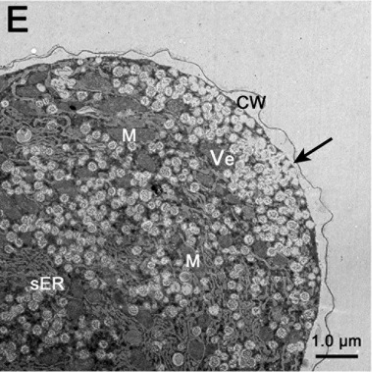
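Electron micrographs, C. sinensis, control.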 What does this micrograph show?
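This is the extreme tip of a pollen tube seen in thin section, and its cytoplasm is crowded with numerous small, round, pale secretory vesicles, most densely toward the outer edge. Between the vesicles lie darker elongated mitochondria and, deeper in, a network of smooth endoplasmic reticulum. The tip is wrapped in a very thin, translucent, slightly bumpy cell wall, and at one spot vesicles are seen meeting the plasma membrane.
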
